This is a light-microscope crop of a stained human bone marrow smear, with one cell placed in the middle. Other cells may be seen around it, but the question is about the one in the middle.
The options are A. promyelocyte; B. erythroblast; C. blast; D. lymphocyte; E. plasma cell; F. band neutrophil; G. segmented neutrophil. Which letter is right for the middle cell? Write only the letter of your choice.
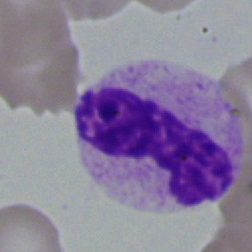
F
